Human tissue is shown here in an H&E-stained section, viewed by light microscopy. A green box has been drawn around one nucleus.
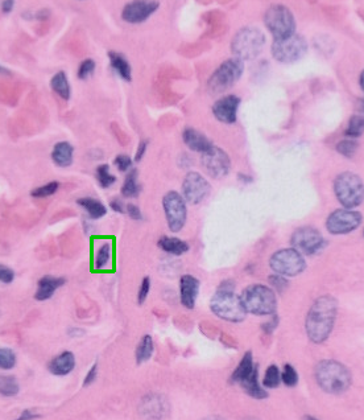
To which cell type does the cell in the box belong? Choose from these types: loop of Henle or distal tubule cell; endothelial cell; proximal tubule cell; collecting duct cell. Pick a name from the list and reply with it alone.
endothelial cell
